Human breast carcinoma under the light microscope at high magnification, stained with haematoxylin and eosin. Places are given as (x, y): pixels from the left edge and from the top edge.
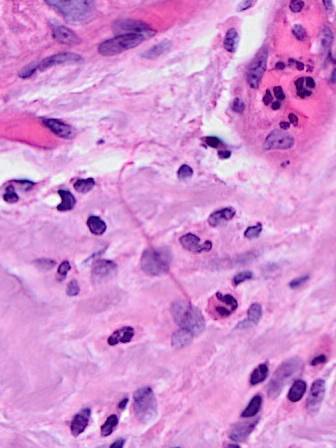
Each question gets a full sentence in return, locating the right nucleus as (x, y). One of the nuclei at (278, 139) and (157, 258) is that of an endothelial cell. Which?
The nucleus at (278, 139) is the member of the pair belonging to an endothelial cell.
